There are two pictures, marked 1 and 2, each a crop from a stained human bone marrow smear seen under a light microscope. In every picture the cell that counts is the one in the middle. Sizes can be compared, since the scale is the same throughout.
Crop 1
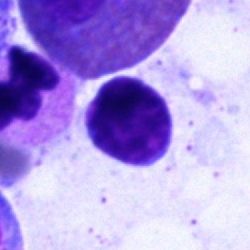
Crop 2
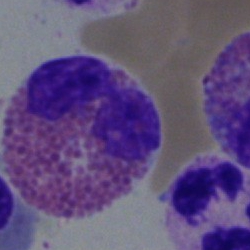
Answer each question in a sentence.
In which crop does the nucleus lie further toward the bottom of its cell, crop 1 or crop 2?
In crop 1 the nucleus is shifted more toward the bottom.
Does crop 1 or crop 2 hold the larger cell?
The cell in crop 2 is larger, with about 2.5 times the area of the one in crop 1.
